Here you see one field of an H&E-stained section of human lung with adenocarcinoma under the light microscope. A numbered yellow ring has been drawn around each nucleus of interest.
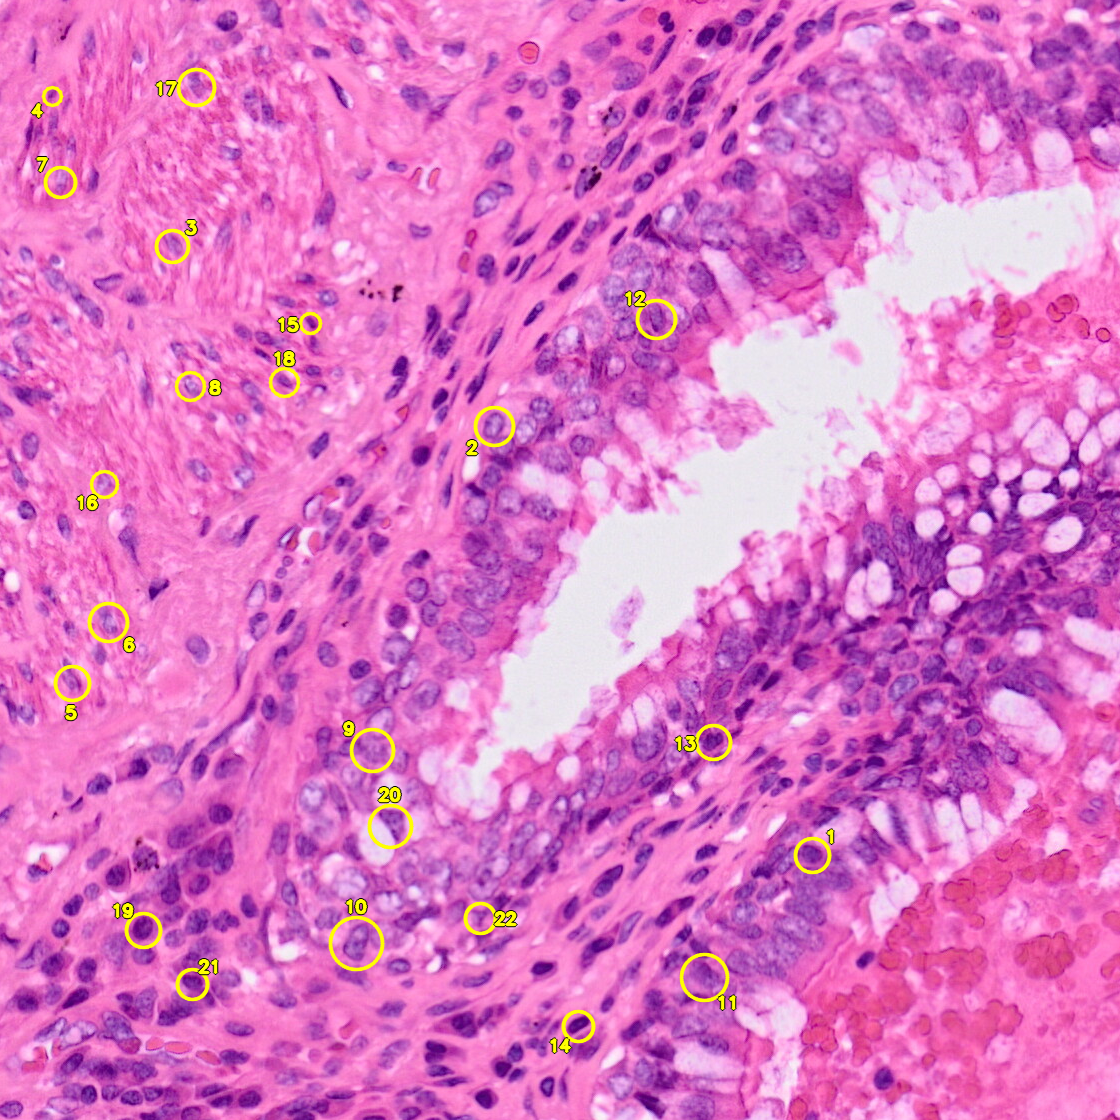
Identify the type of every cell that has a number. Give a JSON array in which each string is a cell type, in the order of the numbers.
["ciliated epithelial cell", "ciliated epithelial cell", "smooth muscle cell or pericyte", "smooth muscle cell or pericyte", "smooth muscle cell or pericyte", "smooth muscle cell or pericyte", "smooth muscle cell or pericyte", "smooth muscle cell or pericyte", "ciliated epithelial cell", "ciliated epithelial cell", "ciliated epithelial cell", "ciliated epithelial cell", "ciliated epithelial cell", "plasma cell", "smooth muscle cell or pericyte", "smooth muscle cell or pericyte", "smooth muscle cell or pericyte", "smooth muscle cell or pericyte", "plasma cell", "ciliated epithelial cell", "plasma cell", "ciliated epithelial cell"]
